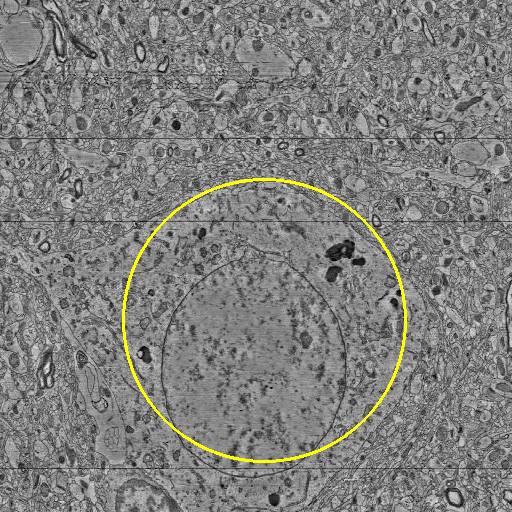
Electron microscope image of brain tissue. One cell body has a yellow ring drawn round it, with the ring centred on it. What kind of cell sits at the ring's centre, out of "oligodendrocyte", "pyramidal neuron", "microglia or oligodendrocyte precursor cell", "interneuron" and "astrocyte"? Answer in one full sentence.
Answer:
It is a pyramidal neuron whose cell body sits at the centre of the yellow ring.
